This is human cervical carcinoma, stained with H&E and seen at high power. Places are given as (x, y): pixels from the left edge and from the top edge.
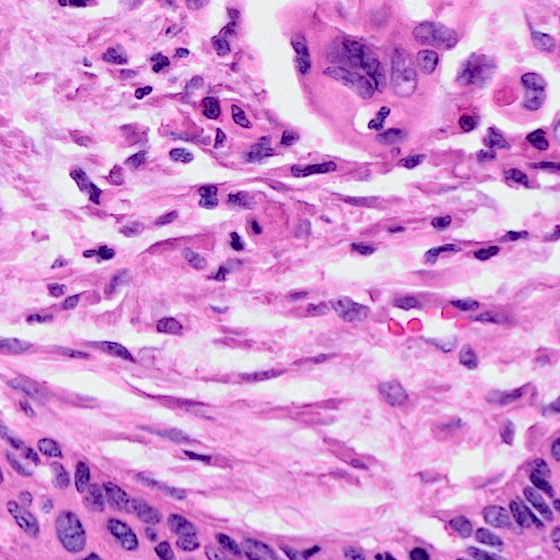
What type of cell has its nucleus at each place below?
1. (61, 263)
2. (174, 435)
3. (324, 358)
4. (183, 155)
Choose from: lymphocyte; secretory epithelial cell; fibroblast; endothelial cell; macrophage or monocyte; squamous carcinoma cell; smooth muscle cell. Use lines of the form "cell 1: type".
cell 1: fibroblast
cell 2: fibroblast
cell 3: fibroblast
cell 4: lymphocyte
